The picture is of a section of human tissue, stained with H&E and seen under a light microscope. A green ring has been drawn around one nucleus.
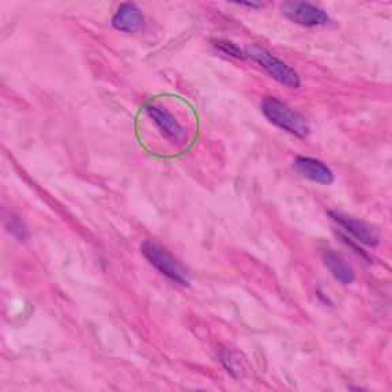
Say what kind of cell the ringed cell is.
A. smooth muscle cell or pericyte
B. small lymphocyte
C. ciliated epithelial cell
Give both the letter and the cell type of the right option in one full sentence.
According to option A, the ringed cell is a smooth muscle cell or pericyte, and this is correct.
